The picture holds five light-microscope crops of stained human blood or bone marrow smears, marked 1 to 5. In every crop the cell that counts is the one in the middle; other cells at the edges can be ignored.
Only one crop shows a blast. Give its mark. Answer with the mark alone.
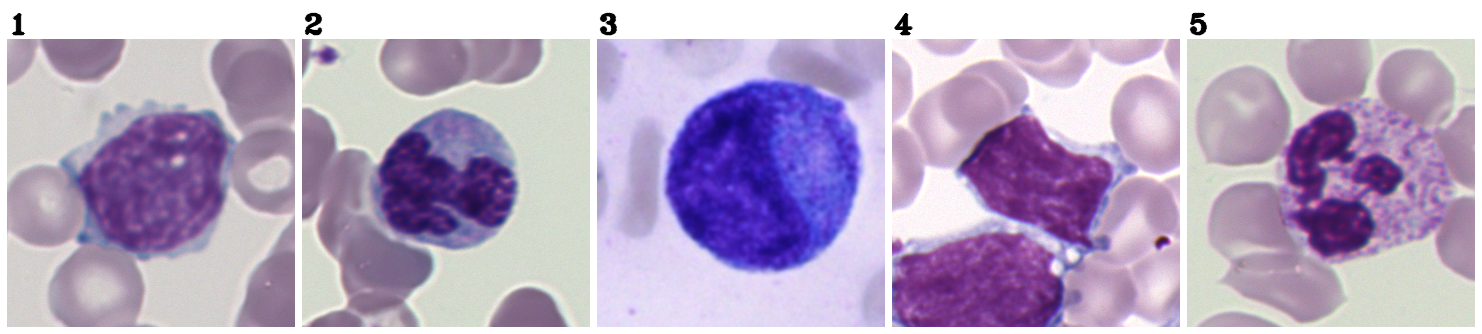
1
